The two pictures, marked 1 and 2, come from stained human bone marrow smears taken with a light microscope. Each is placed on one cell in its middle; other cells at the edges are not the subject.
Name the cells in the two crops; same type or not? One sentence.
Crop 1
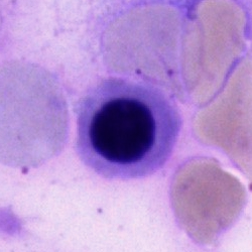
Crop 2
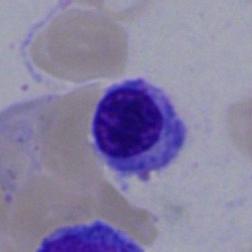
Yes, erythroblasts occupy the centre of both crops.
